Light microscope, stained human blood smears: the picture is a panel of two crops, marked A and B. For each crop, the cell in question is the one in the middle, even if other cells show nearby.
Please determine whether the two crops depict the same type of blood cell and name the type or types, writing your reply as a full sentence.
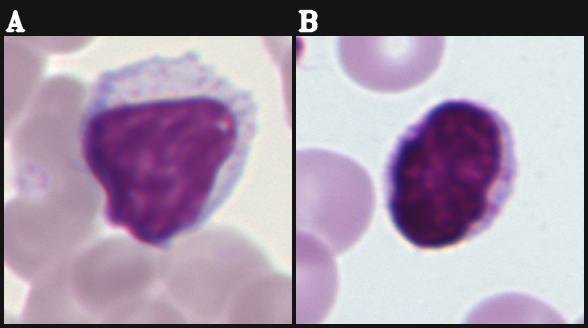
Yes, the two crops share the same answer, large granular lymphocytes.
